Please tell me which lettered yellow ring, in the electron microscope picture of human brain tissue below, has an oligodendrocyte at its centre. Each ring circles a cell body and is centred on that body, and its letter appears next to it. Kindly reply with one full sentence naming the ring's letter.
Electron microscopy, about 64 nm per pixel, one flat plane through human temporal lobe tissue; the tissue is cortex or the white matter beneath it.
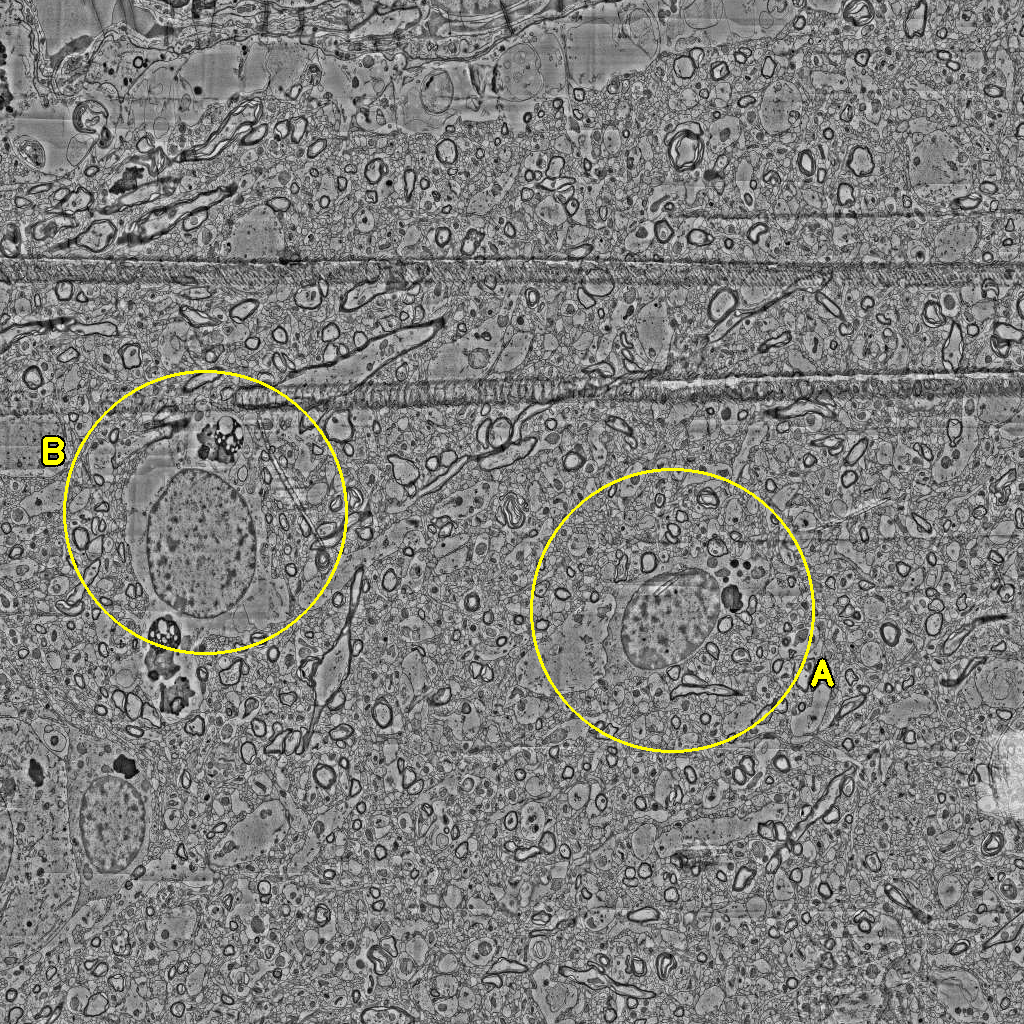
Ring A has the cell asked for at its centre.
